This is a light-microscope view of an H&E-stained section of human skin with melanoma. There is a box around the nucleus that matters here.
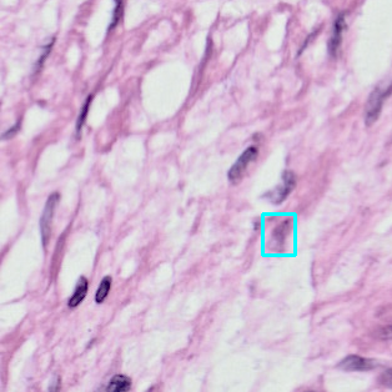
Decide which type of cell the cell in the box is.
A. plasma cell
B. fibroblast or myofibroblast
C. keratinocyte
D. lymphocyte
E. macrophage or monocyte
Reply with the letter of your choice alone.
B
